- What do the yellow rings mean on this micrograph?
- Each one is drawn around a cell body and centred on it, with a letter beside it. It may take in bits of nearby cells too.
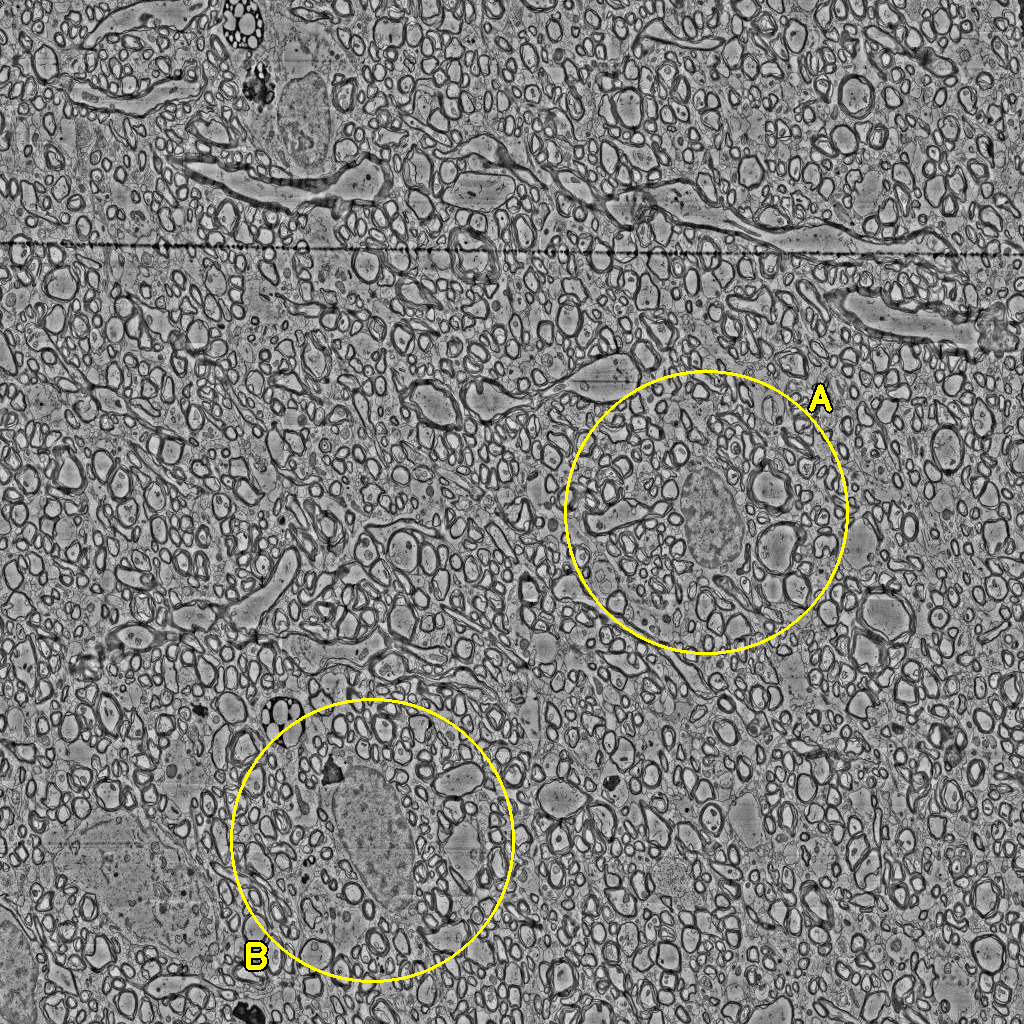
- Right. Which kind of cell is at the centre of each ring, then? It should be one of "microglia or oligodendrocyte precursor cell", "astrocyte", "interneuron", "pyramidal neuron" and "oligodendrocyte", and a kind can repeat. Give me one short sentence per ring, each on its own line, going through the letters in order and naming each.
Ring A circles the cell body of an oligodendrocyte.
Ring B circles the cell body of an oligodendrocyte.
